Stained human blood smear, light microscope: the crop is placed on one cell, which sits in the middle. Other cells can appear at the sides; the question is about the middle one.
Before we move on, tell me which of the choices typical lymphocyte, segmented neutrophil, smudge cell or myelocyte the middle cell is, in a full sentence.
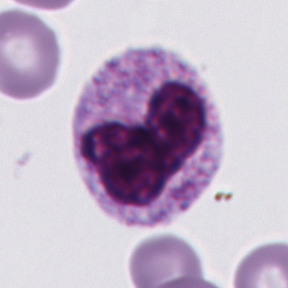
The central cell in this smear crop is a segmented neutrophil.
